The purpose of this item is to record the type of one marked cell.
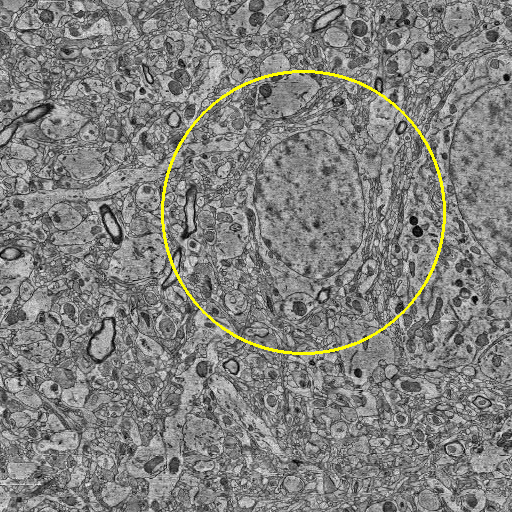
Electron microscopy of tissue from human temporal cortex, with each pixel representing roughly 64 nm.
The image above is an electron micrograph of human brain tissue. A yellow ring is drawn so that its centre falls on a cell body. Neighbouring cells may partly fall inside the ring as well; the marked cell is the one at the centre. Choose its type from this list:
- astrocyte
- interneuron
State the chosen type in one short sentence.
What the ring marks here is an astrocyte.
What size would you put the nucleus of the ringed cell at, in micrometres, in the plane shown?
About 10 by 7 micrometres in this plane.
